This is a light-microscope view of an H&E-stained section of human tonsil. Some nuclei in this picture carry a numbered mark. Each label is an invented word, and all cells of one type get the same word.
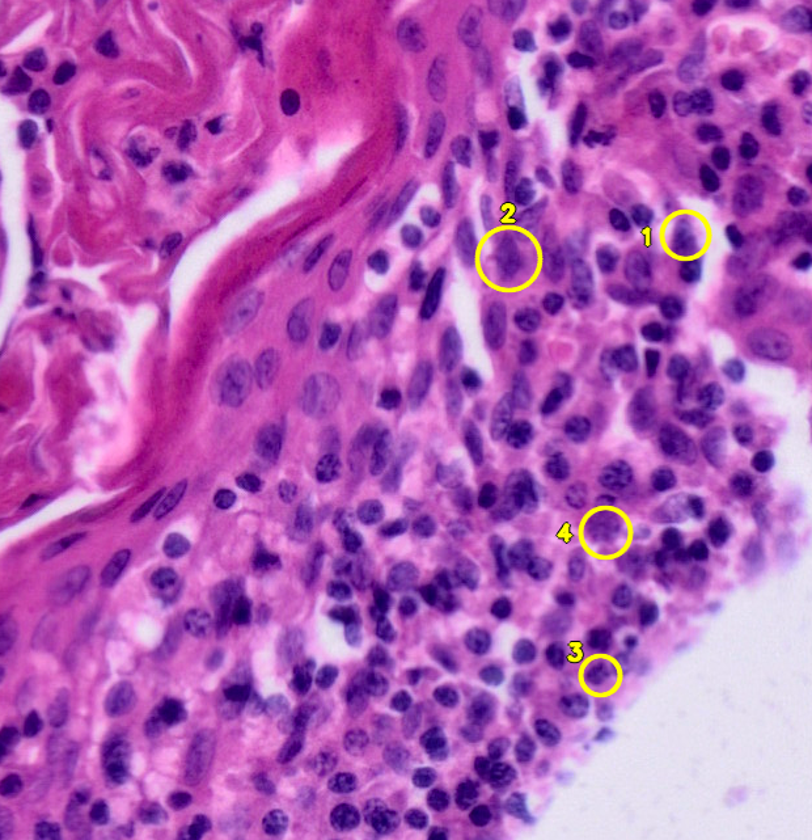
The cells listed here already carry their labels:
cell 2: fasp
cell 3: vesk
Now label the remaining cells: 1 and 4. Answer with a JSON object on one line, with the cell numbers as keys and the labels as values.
{"1": "fasp", "4": "fasp"}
